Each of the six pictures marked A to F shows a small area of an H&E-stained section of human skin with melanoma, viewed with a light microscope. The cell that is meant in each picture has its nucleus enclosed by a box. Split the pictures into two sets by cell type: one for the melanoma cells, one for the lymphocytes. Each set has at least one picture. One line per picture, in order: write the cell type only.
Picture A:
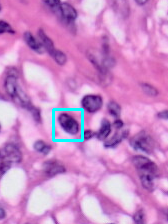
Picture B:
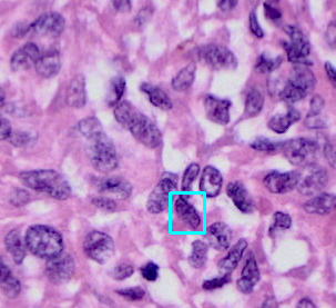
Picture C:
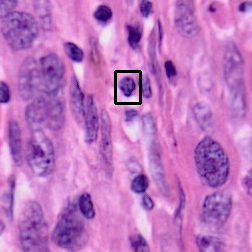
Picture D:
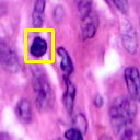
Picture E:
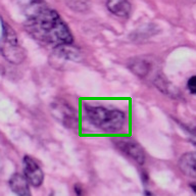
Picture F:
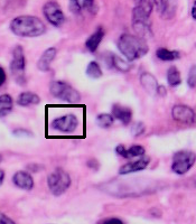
lymphocyte
melanoma cell
lymphocyte
lymphocyte
melanoma cell
lymphocyte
